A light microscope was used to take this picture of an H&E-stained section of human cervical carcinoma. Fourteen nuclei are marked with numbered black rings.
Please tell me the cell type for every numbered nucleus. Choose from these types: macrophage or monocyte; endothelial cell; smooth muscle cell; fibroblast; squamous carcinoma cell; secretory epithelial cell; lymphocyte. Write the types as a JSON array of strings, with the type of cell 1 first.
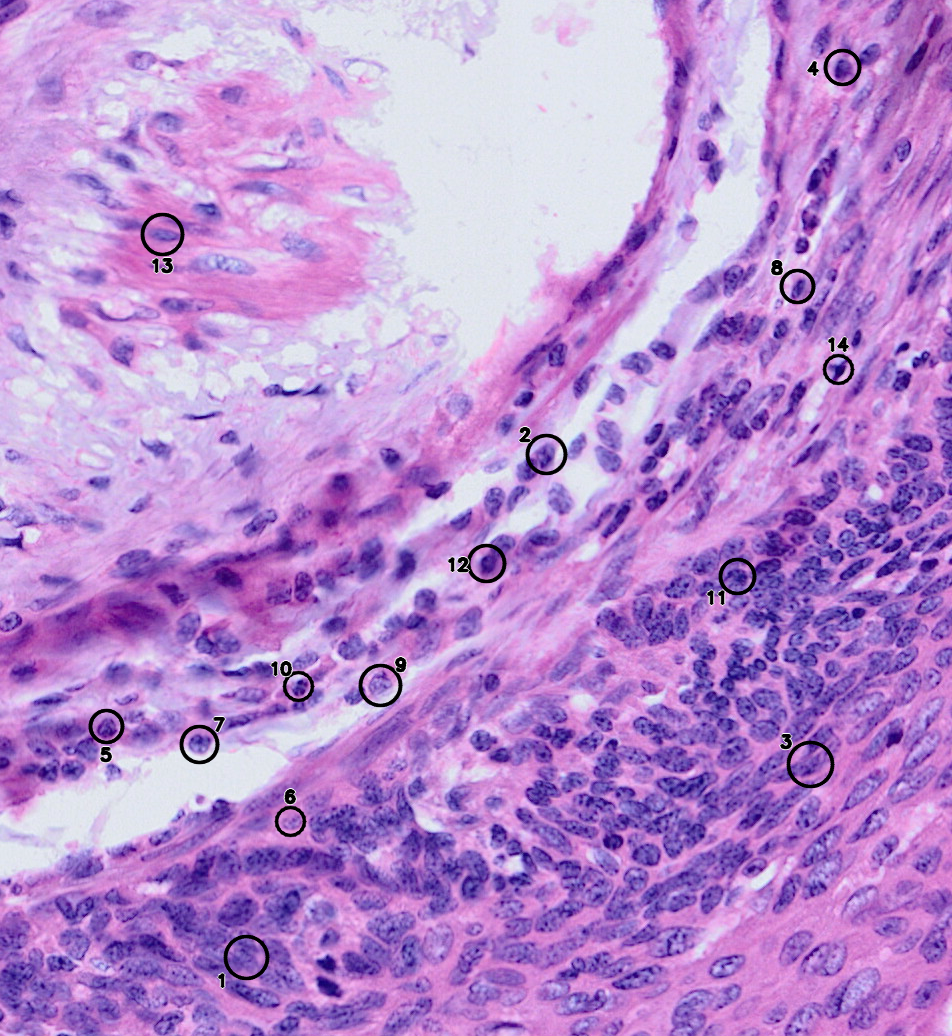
["squamous carcinoma cell", "lymphocyte", "squamous carcinoma cell", "lymphocyte", "lymphocyte", "squamous carcinoma cell", "lymphocyte", "lymphocyte", "macrophage or monocyte", "lymphocyte", "squamous carcinoma cell", "lymphocyte", "smooth muscle cell", "lymphocyte"]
